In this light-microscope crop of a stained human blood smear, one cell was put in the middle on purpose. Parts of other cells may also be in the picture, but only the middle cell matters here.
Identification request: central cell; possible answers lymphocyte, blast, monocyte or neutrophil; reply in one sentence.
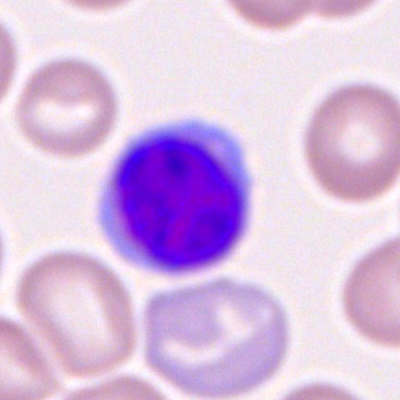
The cell occupying the middle of the crop is a lymphocyte.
